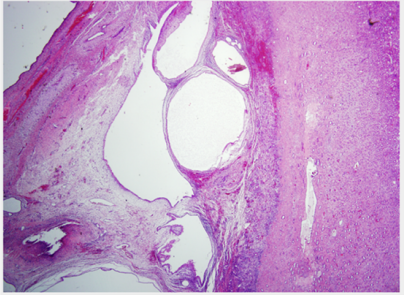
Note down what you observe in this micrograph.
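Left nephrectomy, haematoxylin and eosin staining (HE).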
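Kidney in which several empty cysts of different size, separated by thin pink fibrous septa, occupy much of the section. On the right a band of more solid, pink-purple preserved renal tissue remains beside the cysts.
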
